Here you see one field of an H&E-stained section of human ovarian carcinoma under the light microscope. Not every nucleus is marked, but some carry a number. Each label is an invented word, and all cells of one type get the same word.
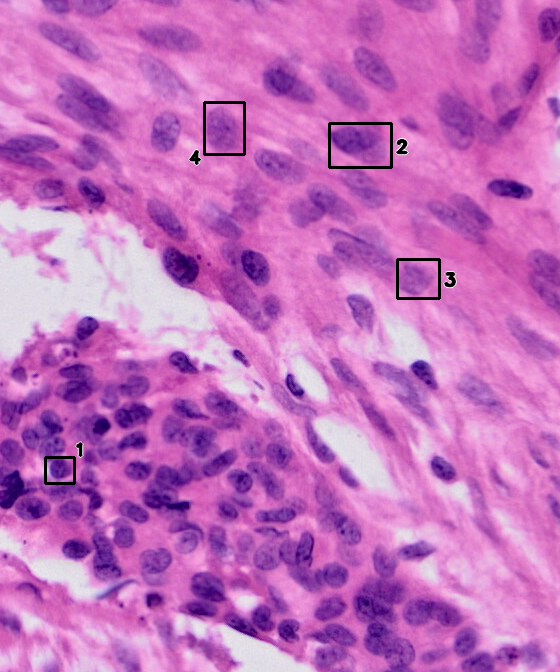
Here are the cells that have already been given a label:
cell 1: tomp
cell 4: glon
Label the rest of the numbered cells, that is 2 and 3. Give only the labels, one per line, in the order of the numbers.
glon
glon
